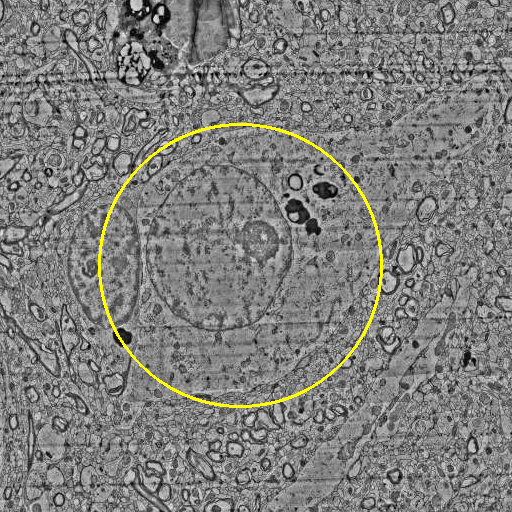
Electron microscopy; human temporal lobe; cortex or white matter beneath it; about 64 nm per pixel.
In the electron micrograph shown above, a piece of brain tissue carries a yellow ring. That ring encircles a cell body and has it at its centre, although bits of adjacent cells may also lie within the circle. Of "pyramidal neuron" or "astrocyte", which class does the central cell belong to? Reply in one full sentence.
The cell body at the centre of the yellow ring belongs to a pyramidal neuron.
